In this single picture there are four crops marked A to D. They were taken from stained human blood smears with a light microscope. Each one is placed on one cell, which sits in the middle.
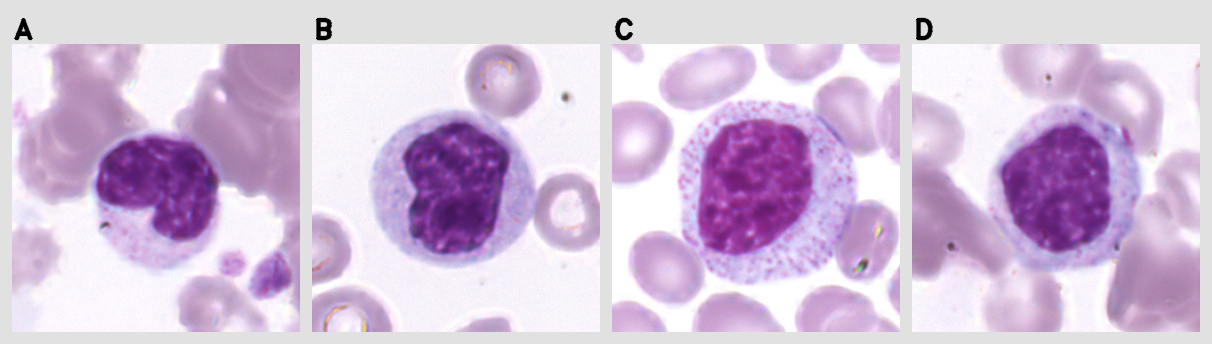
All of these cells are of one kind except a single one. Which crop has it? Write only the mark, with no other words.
D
